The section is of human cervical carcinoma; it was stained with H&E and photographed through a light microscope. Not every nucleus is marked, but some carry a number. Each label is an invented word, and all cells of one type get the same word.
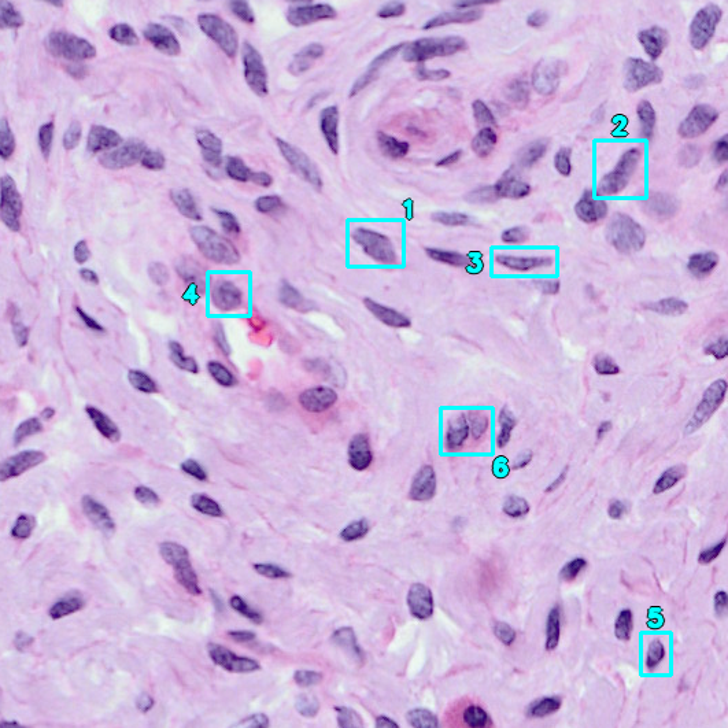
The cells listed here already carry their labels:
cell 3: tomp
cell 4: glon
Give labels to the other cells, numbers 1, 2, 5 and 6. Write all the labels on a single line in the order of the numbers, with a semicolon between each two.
tomp; tomp; tomp; glon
